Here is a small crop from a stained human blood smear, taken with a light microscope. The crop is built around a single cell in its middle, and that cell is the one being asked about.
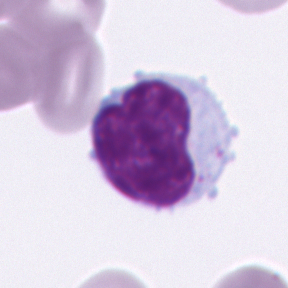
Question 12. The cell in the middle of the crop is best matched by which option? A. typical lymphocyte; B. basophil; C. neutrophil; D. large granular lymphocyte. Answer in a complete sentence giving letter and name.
As the central cell is a large granular lymphocyte, option D is correct.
